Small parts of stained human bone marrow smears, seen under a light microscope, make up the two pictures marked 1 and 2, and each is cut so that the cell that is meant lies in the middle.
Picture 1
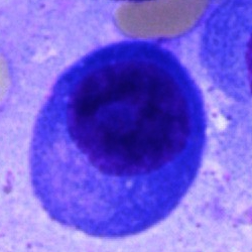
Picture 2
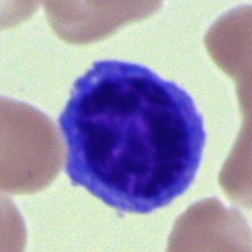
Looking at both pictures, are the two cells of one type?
yes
